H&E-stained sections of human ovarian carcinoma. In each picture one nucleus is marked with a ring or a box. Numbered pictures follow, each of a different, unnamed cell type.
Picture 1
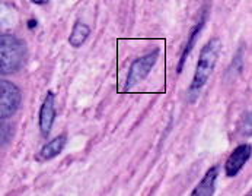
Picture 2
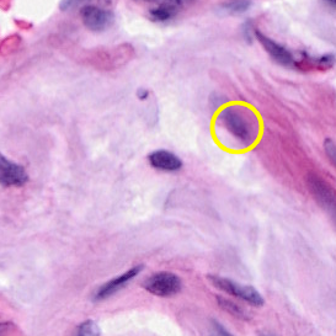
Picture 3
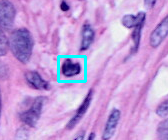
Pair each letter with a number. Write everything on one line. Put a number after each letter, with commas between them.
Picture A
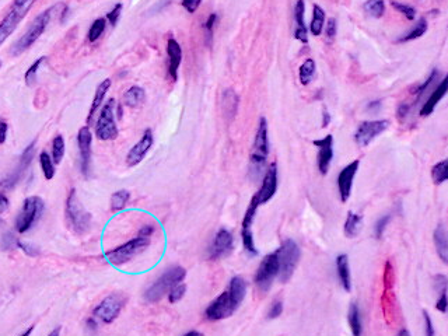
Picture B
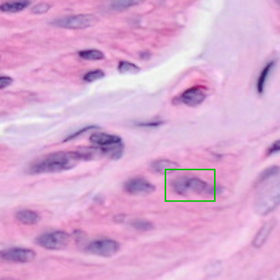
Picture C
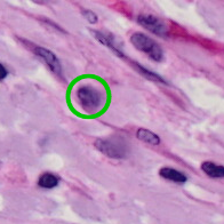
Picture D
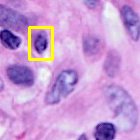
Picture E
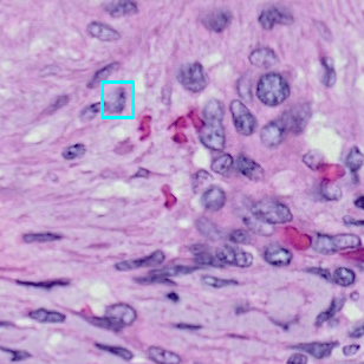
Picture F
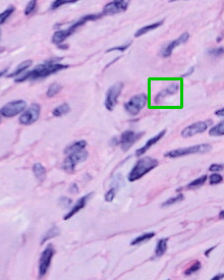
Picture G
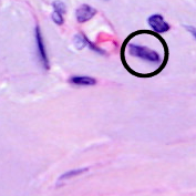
A 2, B 2, C 3, D 3, E 1, F 2, G 1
